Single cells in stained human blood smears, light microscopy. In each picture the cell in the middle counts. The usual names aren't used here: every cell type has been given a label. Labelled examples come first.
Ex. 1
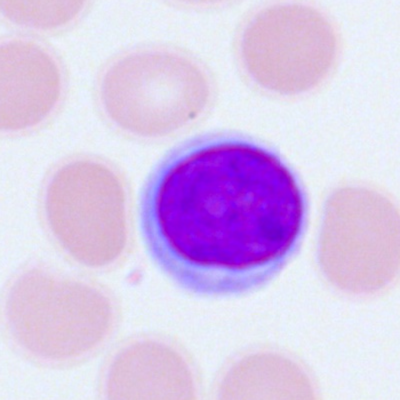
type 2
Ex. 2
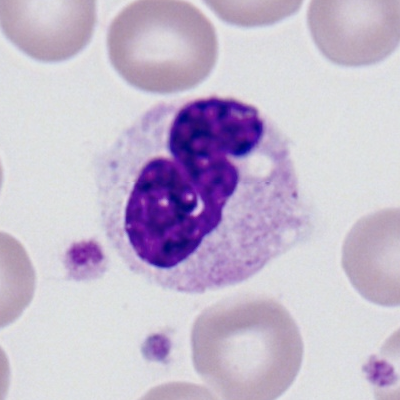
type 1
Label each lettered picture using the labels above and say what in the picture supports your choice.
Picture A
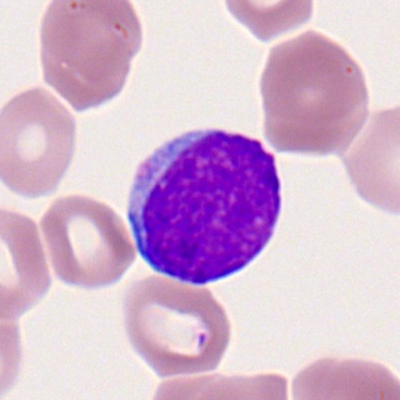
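Label: type 2. The cytoplasm forms only a thin rim around the nucleus.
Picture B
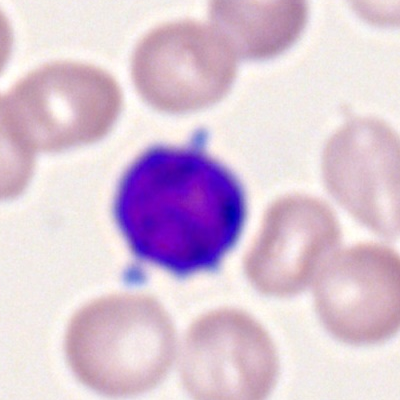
Label: type 2. The nucleus fills almost the whole cell, leaving at most a very thin rim of cytoplasm.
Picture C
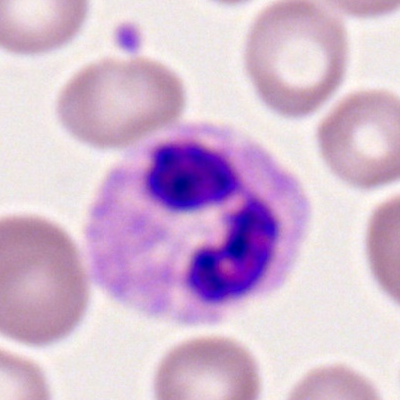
Label: type 1. The nucleus is divided into two main lobes.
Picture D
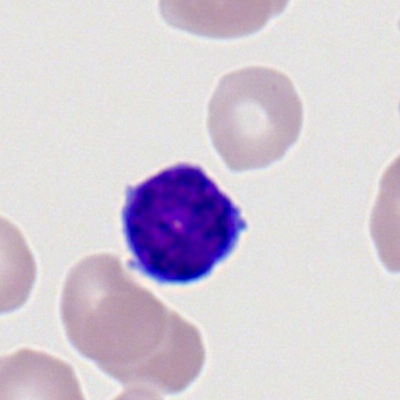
Label: type 2. The nucleus fills almost the whole cell.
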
